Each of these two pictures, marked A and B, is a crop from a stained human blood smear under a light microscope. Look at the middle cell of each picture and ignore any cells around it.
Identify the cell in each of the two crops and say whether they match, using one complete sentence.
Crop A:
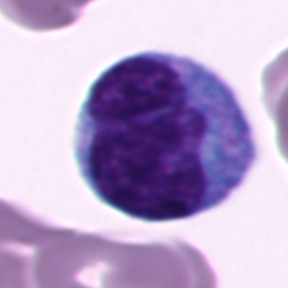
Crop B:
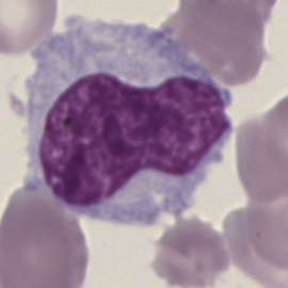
Yes, both crops have monocytes at the centre.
